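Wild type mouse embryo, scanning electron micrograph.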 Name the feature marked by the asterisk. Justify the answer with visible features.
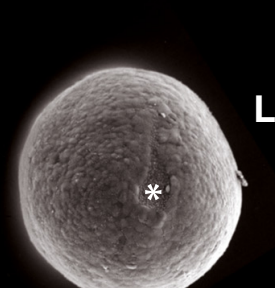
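Node. A small depression with a groove lies on the surface of the rounded embryo where the asterisk sits. The asterisk sits near the midline of the embryo surface.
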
